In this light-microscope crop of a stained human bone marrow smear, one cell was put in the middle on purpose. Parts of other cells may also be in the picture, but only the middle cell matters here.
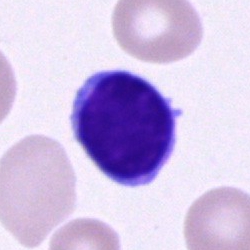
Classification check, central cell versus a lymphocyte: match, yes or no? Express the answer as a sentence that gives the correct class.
Yes, the cell at the middle of the field is to be classed as a lymphocyte.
